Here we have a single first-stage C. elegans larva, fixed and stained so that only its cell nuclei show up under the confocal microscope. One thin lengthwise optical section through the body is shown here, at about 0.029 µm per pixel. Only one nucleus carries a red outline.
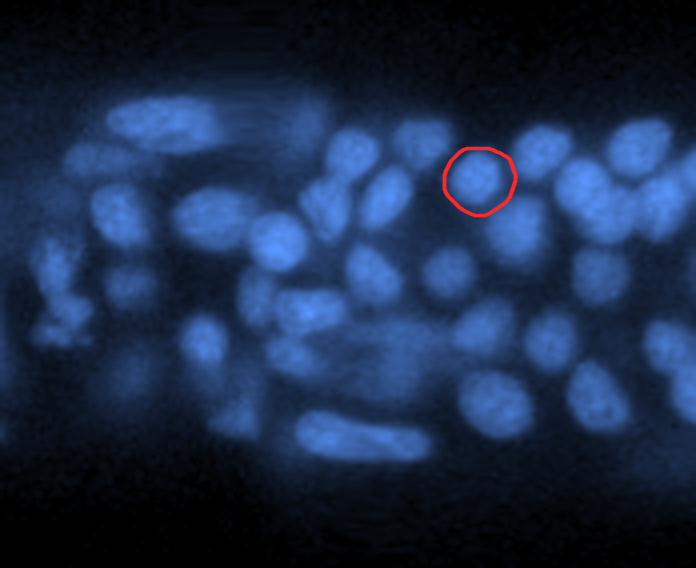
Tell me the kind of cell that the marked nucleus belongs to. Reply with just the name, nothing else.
neuron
